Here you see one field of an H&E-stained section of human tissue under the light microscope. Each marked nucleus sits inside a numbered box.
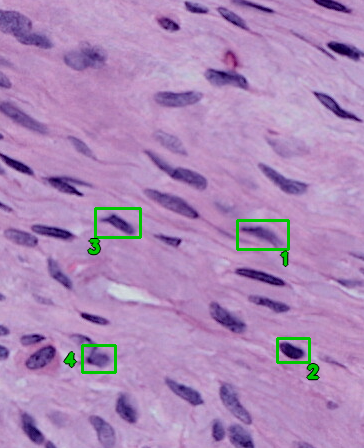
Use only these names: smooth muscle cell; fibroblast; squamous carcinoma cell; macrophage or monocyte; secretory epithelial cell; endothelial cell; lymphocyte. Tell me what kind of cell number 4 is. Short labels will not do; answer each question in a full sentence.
At number 4, the marked cell is a fibroblast.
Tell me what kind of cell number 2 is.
At number 2, the marked cell is a lymphocyte.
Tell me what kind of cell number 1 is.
Cell 1 of the marked set is a fibroblast.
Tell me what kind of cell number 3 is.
The expected answer is that cell 3 is a fibroblast.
